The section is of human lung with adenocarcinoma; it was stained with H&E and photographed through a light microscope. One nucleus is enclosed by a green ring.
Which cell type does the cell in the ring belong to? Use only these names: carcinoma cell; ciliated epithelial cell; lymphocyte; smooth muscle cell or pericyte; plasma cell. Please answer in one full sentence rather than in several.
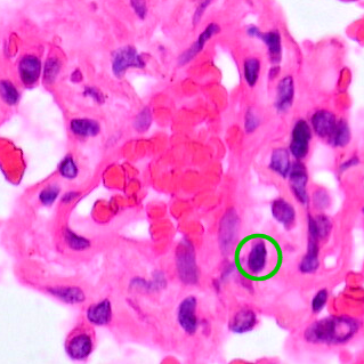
In this tissue sample, the cell in the ring is a plasma cell.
